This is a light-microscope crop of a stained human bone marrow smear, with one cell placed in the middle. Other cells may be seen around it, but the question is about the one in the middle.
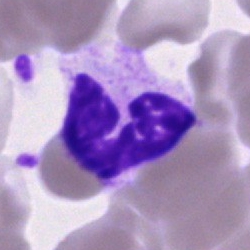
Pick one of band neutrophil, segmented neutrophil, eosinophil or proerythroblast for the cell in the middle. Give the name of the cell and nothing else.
segmented neutrophil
